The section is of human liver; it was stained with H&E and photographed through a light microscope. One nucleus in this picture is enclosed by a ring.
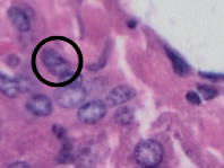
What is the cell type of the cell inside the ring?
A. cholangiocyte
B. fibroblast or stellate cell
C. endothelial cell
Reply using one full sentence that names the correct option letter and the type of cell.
The correct identification, the cell inside the ring as a cholangiocyte, is given by option A.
